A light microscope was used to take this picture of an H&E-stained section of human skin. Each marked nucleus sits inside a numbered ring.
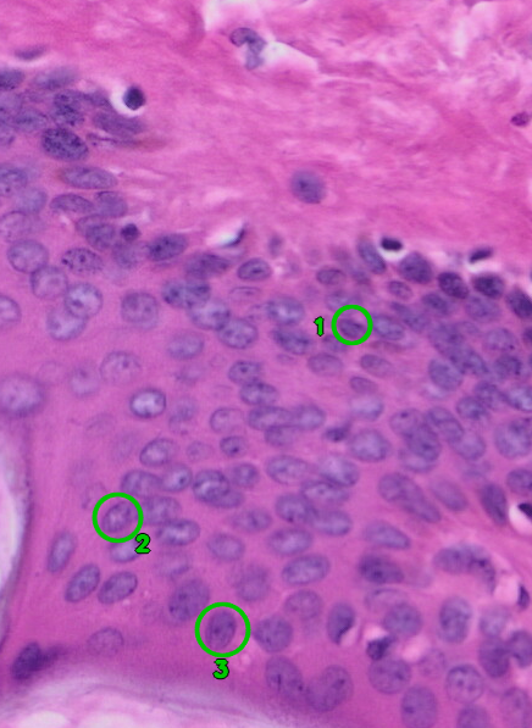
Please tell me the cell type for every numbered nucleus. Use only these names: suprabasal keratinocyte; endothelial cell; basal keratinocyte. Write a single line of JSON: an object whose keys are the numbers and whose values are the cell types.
{"1": "basal keratinocyte", "2": "suprabasal keratinocyte", "3": "suprabasal keratinocyte"}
